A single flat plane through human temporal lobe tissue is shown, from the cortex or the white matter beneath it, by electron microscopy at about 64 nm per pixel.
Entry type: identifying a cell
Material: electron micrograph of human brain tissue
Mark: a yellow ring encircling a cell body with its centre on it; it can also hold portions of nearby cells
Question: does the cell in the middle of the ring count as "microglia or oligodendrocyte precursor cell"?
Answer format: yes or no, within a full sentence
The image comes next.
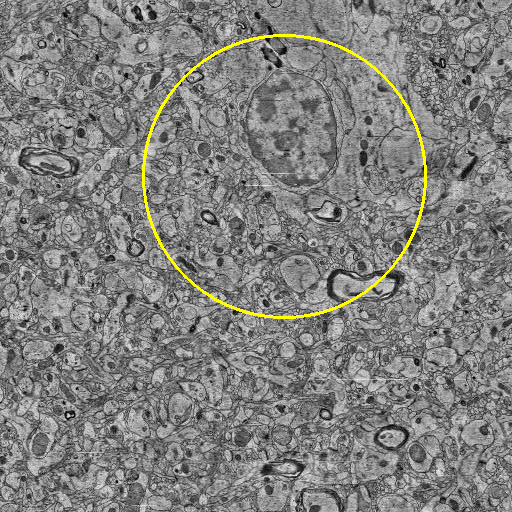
Yes, in the image, the cell in the middle of the yellow ring counts as the queried kind.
